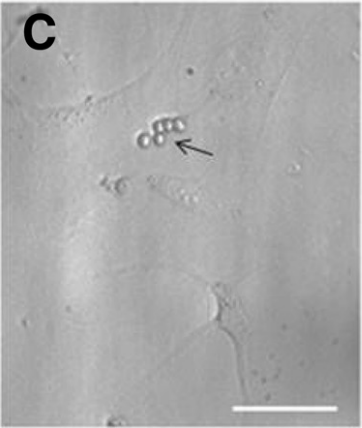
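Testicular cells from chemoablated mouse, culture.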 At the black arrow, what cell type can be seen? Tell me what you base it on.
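A small group of tiny round refractile cells. They sit on top of large flat spread cells with long thin outlines. The answer: Germ cells.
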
